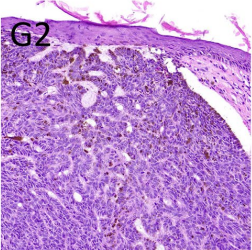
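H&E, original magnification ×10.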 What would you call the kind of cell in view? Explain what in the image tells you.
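Sheets of crowded cells with dark oval nuclei and scant cytoplasm. A cleft separates the cell mass from the overlying epidermis. Brown pigment is scattered among the cells.
Answer: basaloid‐appearing cells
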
